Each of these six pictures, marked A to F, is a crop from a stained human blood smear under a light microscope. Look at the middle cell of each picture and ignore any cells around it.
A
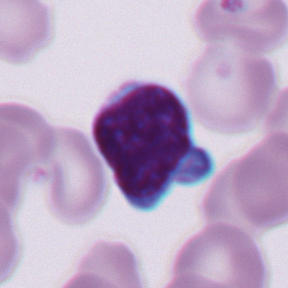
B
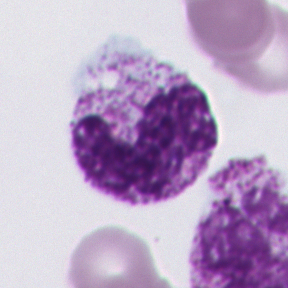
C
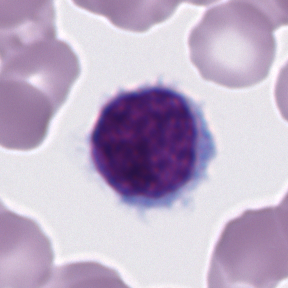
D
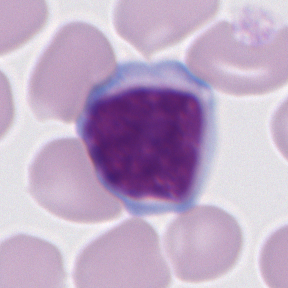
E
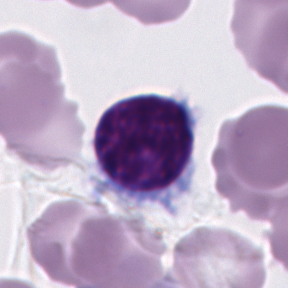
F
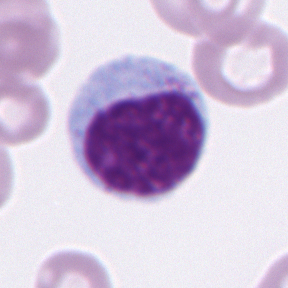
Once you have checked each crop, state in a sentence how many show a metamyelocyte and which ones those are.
None of these crops has metamyelocytes in it, so the count comes to zero.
